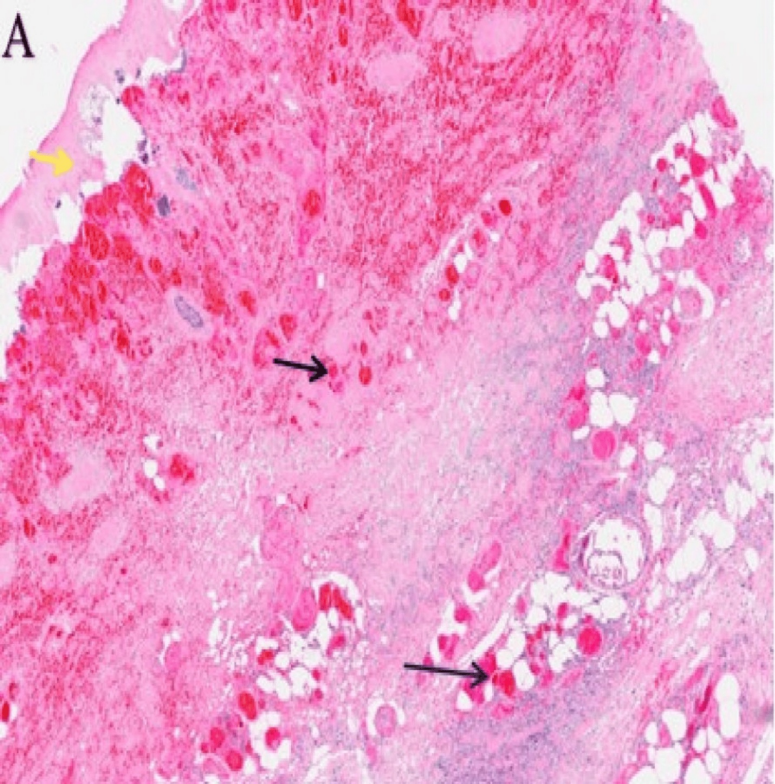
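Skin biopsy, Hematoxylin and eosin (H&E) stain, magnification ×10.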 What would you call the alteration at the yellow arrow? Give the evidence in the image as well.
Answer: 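The arrow points to the surface layer at the upper left edge of the tissue. The surface layer is pale pink and smudged, with no clear nuclei. So: epidermal necrosis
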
